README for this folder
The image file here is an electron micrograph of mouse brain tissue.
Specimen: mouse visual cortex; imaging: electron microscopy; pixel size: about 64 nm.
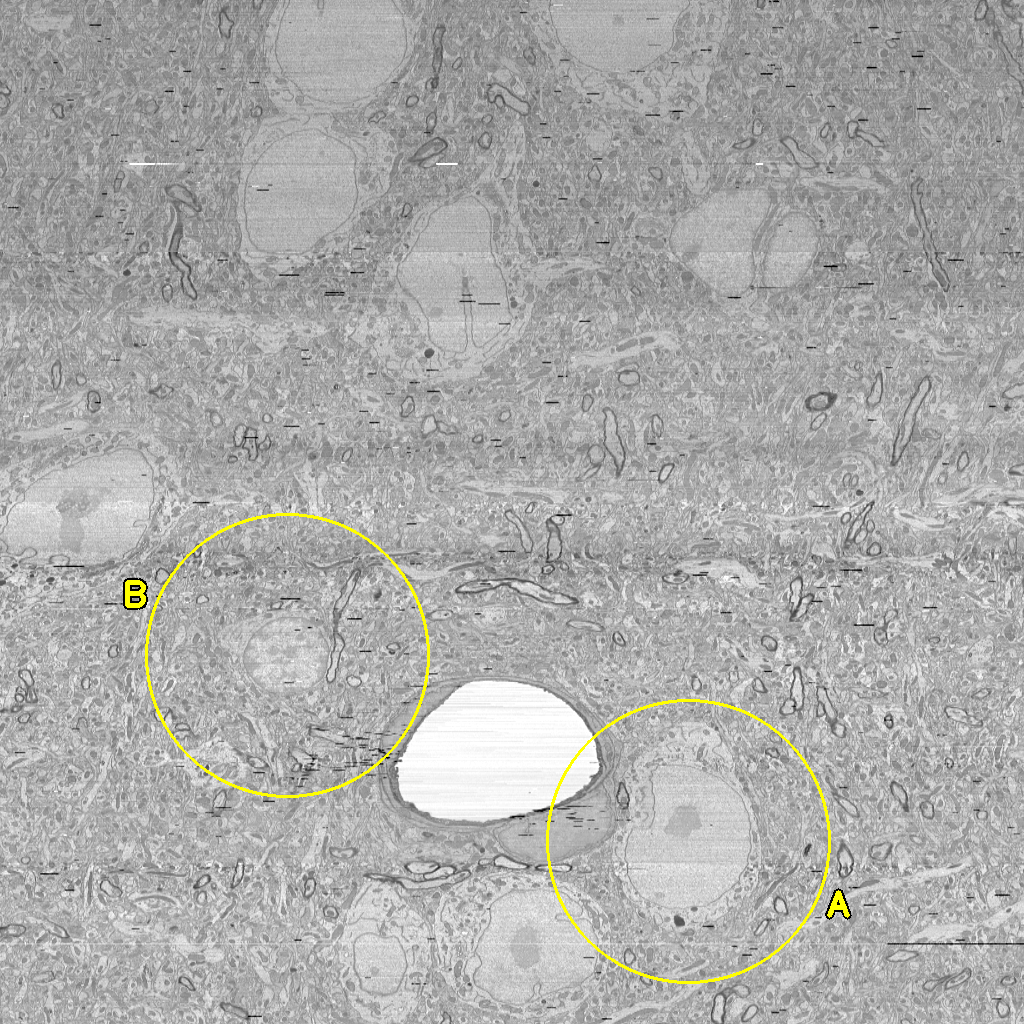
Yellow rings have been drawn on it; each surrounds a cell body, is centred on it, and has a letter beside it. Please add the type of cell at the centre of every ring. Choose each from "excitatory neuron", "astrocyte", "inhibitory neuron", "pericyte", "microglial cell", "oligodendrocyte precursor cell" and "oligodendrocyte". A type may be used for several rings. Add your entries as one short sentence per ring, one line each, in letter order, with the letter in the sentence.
Ring A marks the cell body of an excitatory neuron.
Ring B marks the cell body of an oligodendrocyte.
